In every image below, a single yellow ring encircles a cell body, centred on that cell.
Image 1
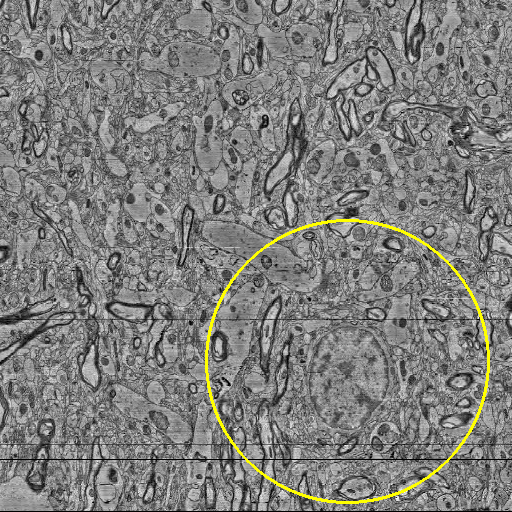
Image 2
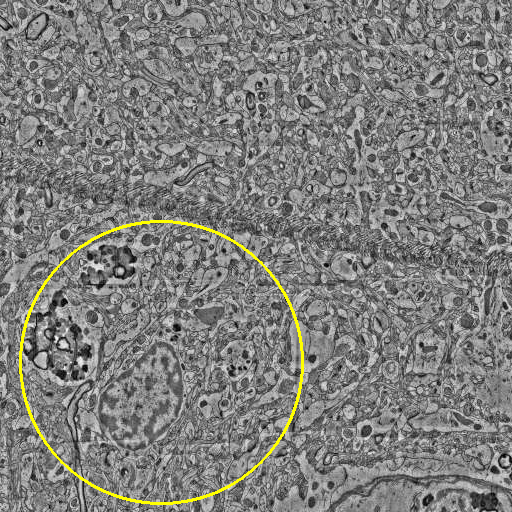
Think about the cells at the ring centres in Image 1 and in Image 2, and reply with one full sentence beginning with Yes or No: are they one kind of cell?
No, the cells centred in the rings of Image 1 and Image 2 are two kinds of cell.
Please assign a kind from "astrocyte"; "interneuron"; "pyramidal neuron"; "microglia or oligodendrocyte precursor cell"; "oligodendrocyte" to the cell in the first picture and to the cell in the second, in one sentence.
In the first picture we have an oligodendrocyte, and in the second, a microglial cell or oligodendrocyte precursor cell.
